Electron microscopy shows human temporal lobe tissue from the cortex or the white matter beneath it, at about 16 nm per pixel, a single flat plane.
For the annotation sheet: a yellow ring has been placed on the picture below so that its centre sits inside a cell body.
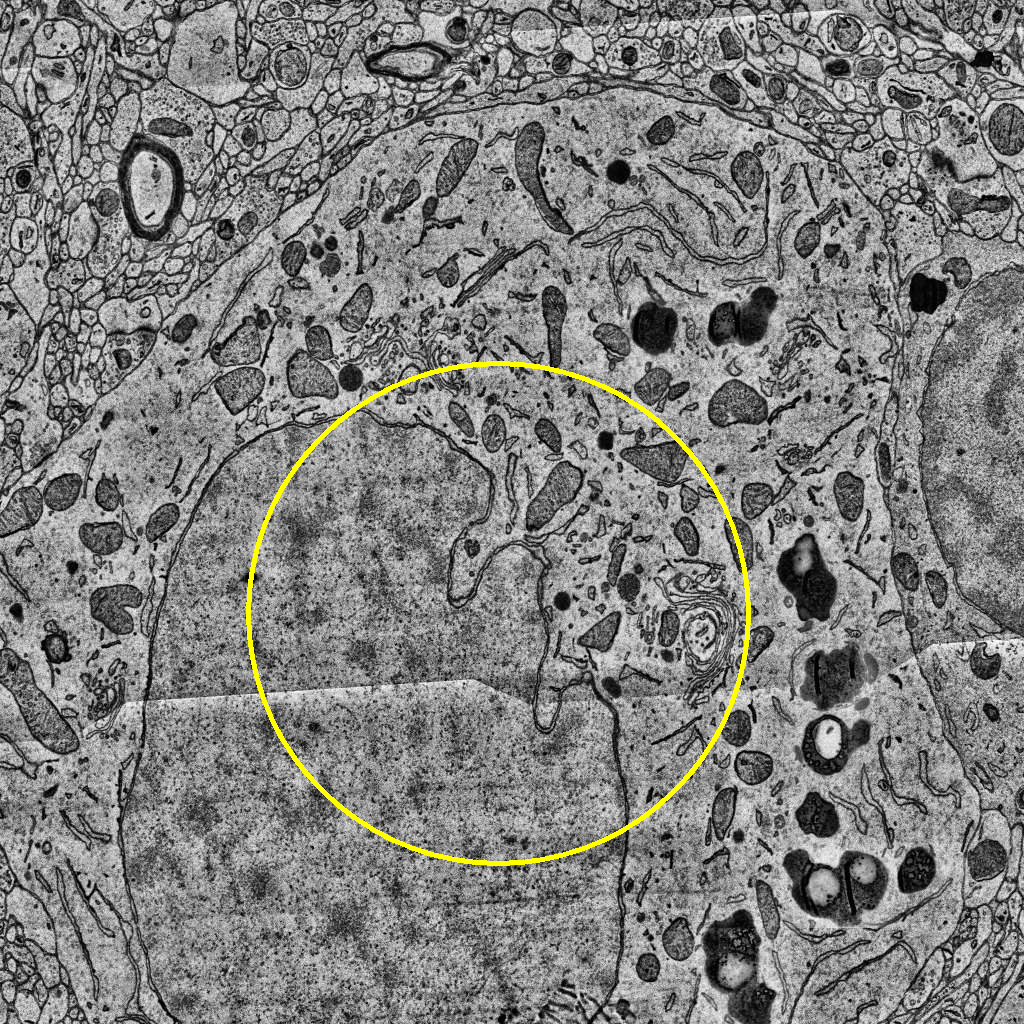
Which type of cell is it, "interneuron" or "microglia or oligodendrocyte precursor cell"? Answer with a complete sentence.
The cell at the ring's centre is an interneuron.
